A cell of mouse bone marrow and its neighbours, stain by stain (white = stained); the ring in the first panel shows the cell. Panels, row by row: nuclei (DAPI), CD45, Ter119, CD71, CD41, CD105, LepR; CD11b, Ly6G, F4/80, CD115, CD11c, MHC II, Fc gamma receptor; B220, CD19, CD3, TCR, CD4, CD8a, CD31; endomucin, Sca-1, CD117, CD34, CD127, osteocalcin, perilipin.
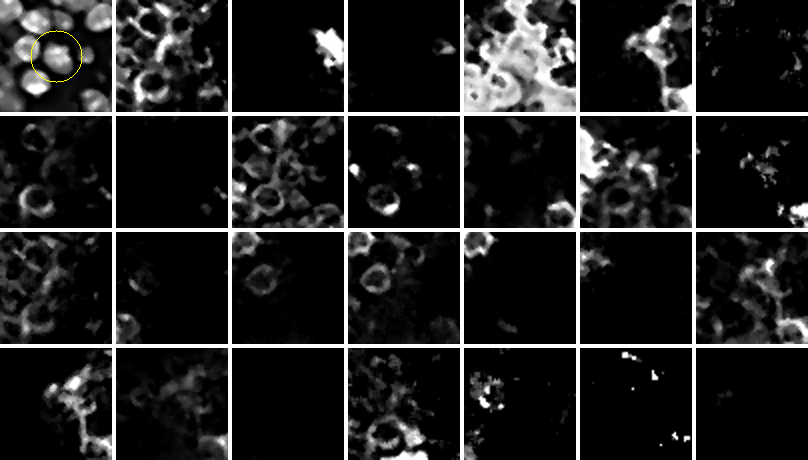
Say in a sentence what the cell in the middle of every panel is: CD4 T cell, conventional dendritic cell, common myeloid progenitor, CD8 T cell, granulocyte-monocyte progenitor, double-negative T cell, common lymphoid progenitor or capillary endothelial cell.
This is a capillary endothelial cell.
